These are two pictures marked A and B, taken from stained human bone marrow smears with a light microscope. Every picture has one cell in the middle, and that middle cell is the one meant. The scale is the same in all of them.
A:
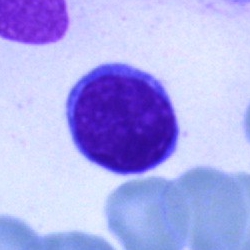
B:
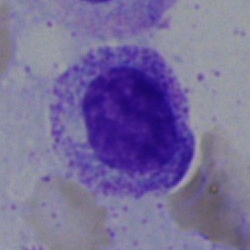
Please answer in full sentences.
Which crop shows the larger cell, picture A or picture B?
Larger is the cell in picture B, at roughly 1.5 times the area of the other.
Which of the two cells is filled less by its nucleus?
It is the cell in picture B that is filled less by its nucleus.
